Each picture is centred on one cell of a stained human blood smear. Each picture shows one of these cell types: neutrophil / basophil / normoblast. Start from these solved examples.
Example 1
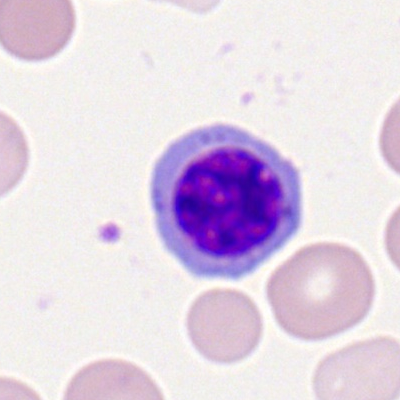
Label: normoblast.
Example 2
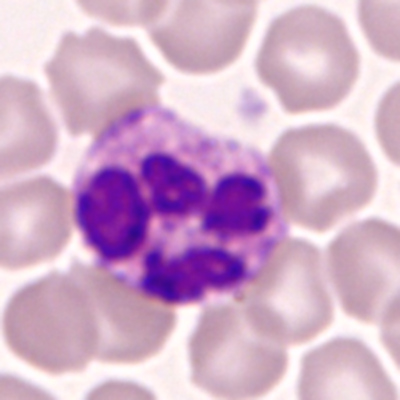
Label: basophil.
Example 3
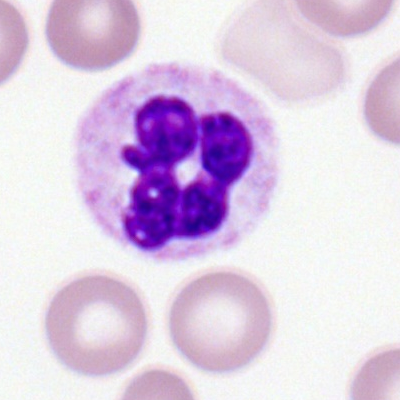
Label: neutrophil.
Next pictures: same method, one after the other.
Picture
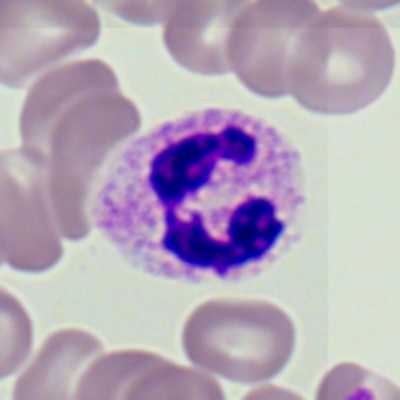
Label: neutrophil.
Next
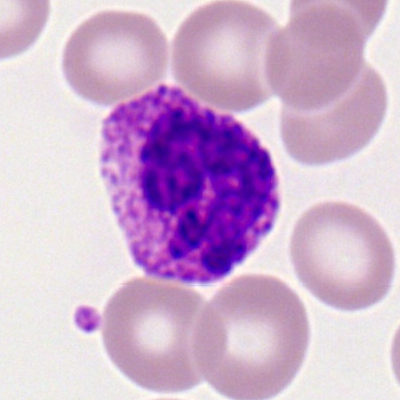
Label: basophil.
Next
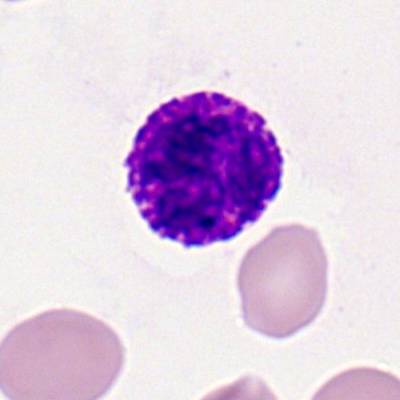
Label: basophil.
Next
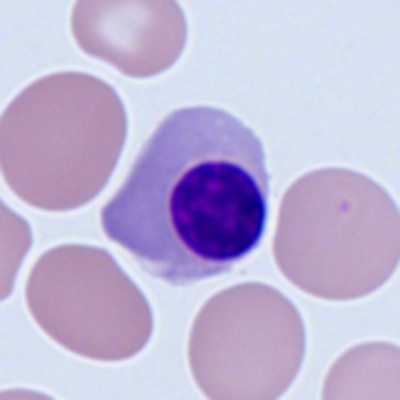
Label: normoblast.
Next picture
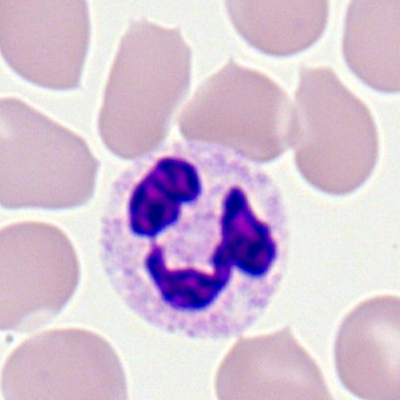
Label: neutrophil.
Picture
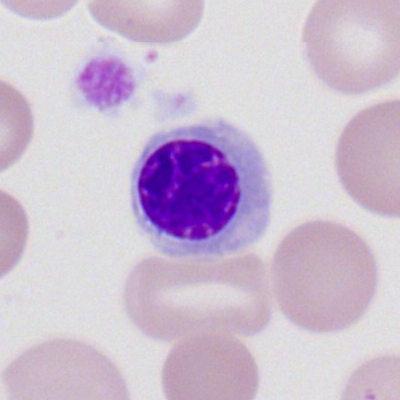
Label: normoblast.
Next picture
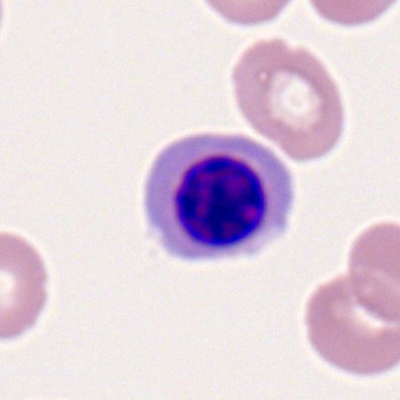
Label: normoblast.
